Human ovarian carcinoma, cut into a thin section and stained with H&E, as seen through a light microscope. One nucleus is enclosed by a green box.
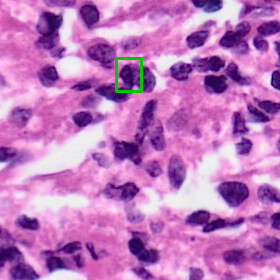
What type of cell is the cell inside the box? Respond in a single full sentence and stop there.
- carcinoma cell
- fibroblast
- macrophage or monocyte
What the cell inside the box represents is a carcinoma cell.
